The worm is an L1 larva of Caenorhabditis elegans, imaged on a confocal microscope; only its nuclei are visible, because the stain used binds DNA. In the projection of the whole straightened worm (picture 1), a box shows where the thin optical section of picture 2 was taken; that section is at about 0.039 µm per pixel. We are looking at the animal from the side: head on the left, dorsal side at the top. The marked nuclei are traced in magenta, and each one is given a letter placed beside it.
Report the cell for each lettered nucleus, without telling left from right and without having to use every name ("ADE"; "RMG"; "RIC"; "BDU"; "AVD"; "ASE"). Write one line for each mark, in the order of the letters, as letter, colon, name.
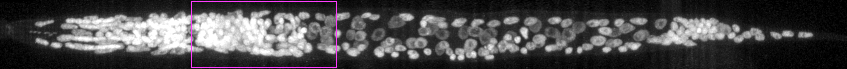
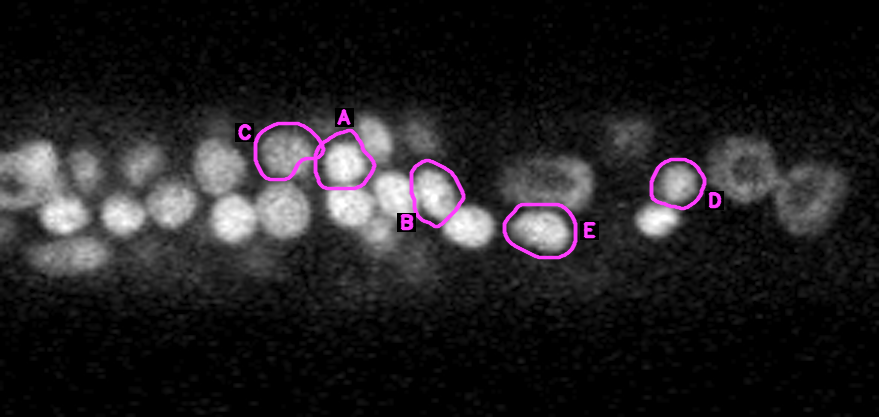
A: AVD
B: ADE
C: ASE
D: BDU
E: RMG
